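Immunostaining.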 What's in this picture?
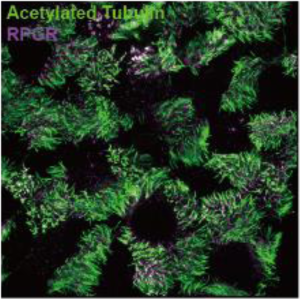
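The tufts form patches that are separated by dark spaces where no cilia stand. Magenta dots and specks lie among the cilia, mostly toward the bases within the tufts, so that parts of the tufts look whitish where the colours overlap.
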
